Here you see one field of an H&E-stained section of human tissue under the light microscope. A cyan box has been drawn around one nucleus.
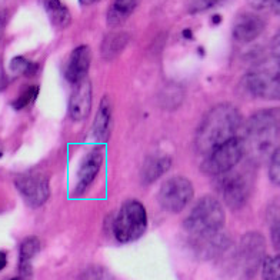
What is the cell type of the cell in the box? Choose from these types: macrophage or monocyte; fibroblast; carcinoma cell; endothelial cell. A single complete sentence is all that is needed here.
In the stained section, the cell in the box is an endothelial cell.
